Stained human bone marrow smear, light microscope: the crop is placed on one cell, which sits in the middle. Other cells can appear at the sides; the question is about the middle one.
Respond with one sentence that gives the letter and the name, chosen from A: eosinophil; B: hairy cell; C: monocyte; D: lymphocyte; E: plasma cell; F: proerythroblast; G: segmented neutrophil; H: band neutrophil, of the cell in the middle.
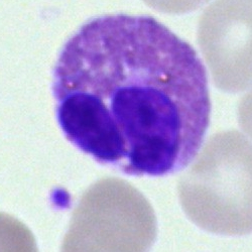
Option A is the correct one; it names the central cell as an eosinophil.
